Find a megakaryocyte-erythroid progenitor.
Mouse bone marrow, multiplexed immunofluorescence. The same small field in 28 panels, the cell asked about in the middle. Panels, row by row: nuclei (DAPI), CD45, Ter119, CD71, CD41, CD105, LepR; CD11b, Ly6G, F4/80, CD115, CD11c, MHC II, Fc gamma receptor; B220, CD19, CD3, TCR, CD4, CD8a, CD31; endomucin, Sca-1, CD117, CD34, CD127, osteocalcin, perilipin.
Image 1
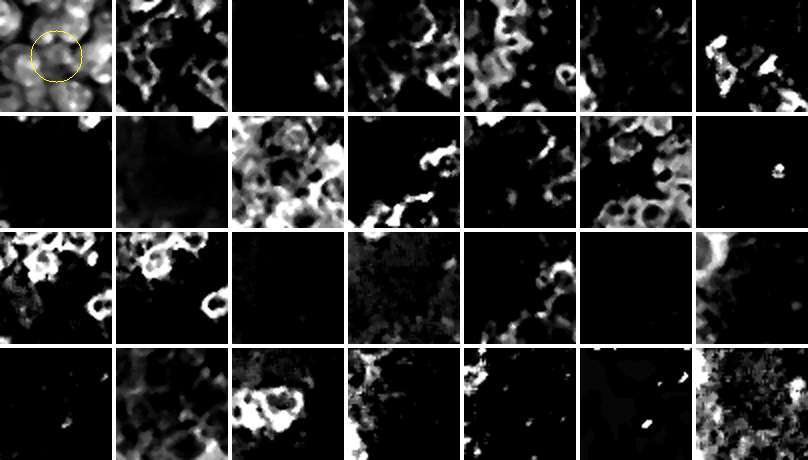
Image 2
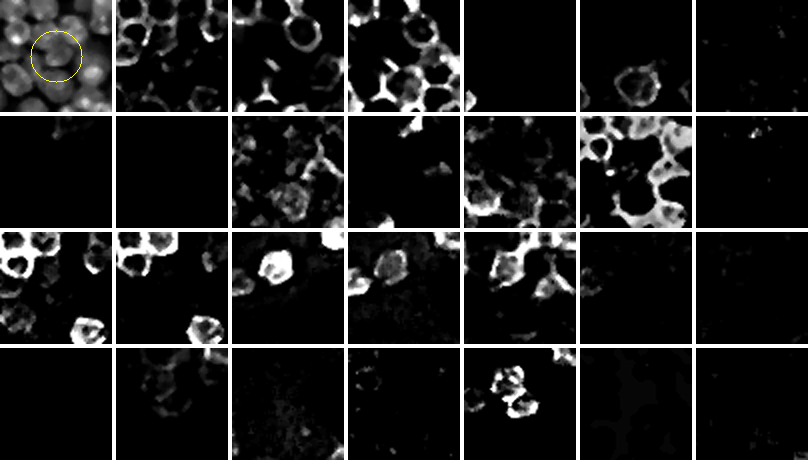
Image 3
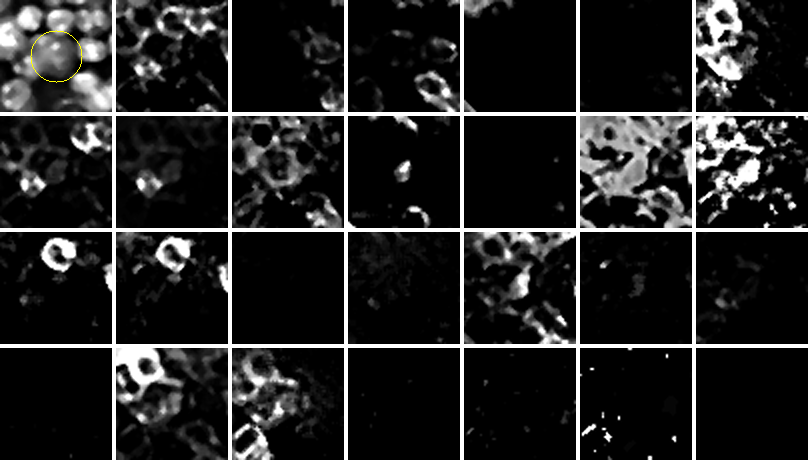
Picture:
1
